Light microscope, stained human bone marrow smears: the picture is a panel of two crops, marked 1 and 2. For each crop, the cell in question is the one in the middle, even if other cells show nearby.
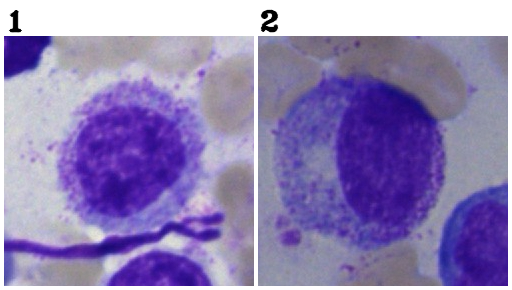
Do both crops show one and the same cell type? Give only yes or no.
yes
